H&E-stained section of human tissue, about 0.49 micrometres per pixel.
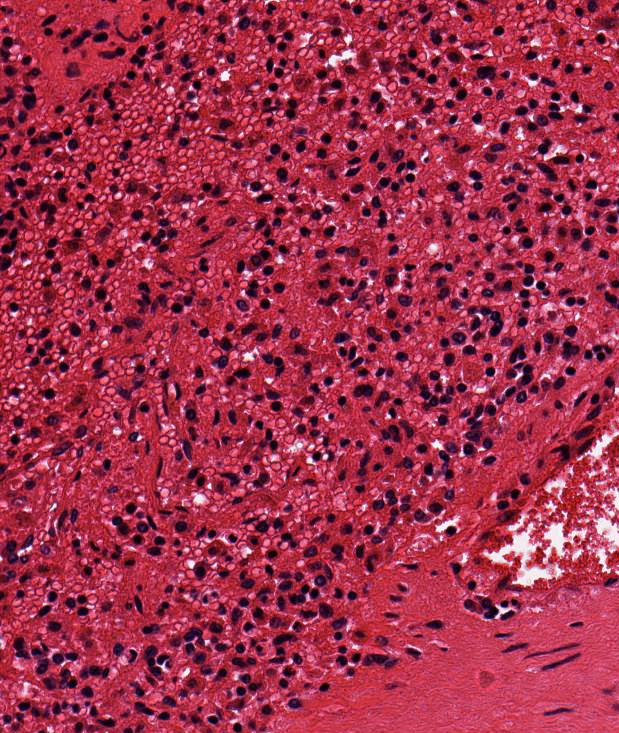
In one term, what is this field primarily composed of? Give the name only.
red pulp of the spleen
